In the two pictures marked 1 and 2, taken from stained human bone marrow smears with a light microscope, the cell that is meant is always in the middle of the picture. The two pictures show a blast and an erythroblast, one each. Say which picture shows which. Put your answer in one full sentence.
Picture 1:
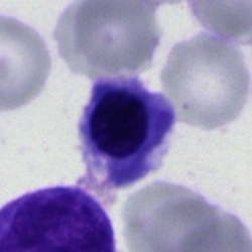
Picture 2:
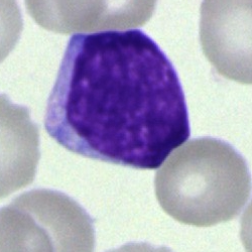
In picture 1 the cell is an erythroblast; in picture 2, a blast.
